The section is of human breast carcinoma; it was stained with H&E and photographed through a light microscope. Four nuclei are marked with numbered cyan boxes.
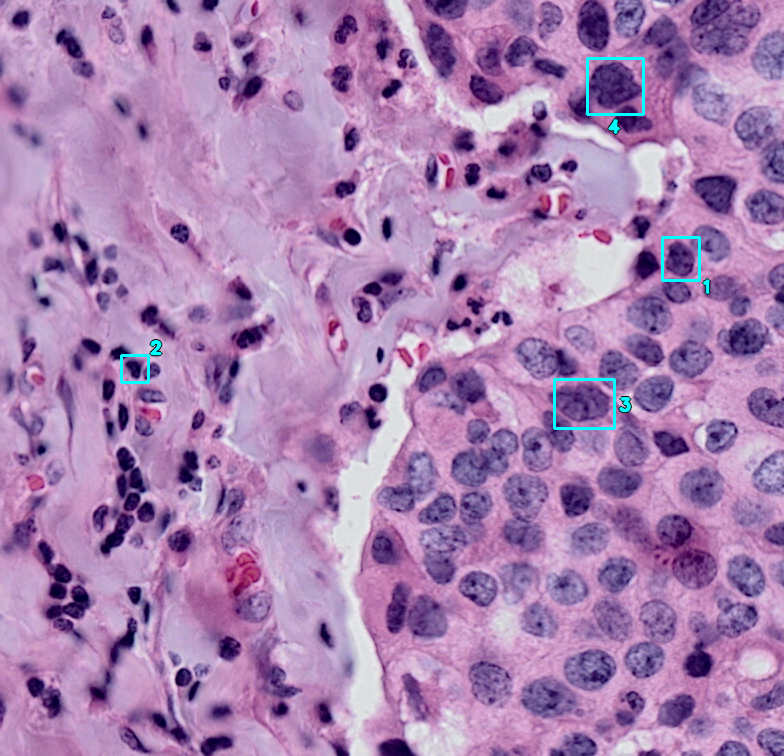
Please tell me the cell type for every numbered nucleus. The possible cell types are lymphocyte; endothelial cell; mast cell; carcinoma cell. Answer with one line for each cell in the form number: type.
1: carcinoma cell
2: lymphocyte
3: carcinoma cell
4: carcinoma cell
